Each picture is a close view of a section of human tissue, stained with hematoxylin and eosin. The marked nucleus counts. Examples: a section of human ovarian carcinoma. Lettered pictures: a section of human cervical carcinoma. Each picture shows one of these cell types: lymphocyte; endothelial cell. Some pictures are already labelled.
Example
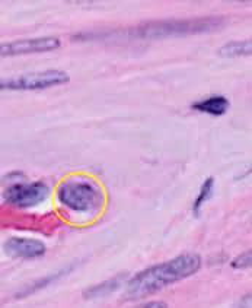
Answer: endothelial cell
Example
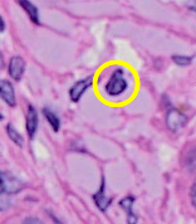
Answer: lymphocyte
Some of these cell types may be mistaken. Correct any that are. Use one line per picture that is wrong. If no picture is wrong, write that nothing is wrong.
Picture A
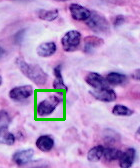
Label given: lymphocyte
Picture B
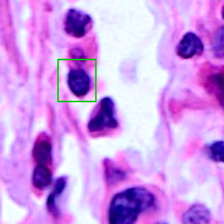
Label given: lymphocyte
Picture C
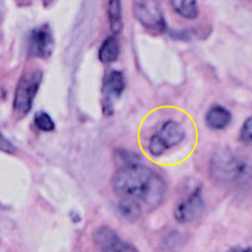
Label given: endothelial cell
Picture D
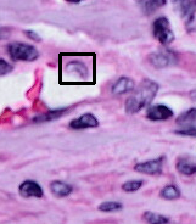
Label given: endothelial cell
Nothing to fix; every label fits.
